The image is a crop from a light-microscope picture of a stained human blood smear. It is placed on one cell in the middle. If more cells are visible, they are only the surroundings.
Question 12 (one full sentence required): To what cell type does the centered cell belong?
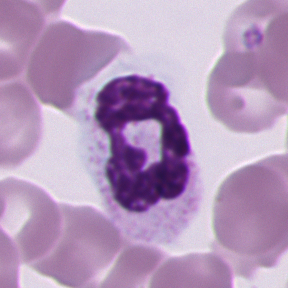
Regarding the central cell, it is a segmented neutrophil.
